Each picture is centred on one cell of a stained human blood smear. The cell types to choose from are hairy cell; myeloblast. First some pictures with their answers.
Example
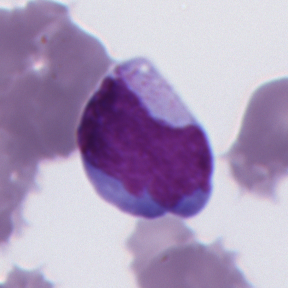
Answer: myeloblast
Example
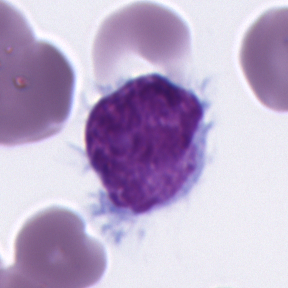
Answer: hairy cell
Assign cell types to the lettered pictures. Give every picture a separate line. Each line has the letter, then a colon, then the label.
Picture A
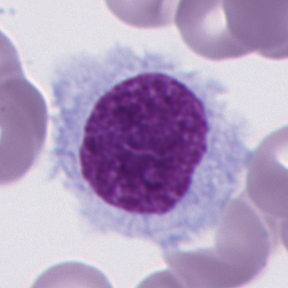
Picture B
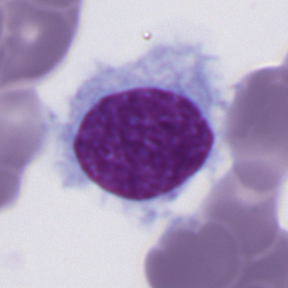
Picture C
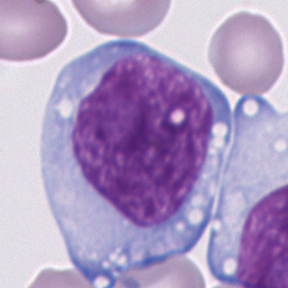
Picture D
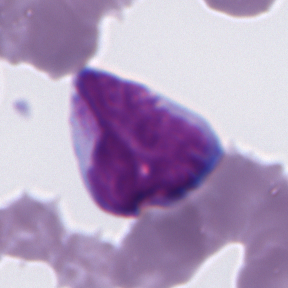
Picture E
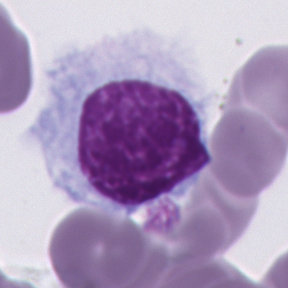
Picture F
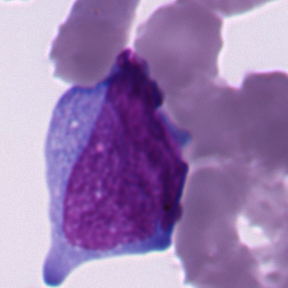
A: hairy cell
B: hairy cell
C: myeloblast
D: myeloblast
E: hairy cell
F: myeloblast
